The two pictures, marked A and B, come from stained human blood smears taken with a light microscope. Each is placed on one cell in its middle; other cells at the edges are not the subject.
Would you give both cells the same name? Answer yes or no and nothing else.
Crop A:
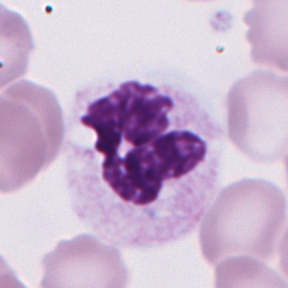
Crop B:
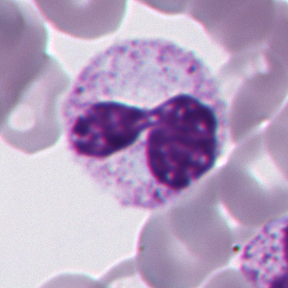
yes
